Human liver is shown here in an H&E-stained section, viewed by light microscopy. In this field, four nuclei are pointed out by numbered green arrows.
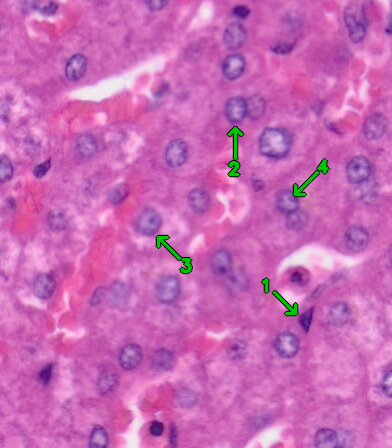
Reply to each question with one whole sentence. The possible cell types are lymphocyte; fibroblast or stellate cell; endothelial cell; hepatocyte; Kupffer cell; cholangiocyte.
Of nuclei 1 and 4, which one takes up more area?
The larger nucleus is 4, at roughly 1.5 times the area of 1.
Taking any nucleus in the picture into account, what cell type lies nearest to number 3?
The cell nearest to number 3 is a Kupffer cell.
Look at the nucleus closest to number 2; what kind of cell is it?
It is a hepatocyte whose nucleus is nearest to number 2.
